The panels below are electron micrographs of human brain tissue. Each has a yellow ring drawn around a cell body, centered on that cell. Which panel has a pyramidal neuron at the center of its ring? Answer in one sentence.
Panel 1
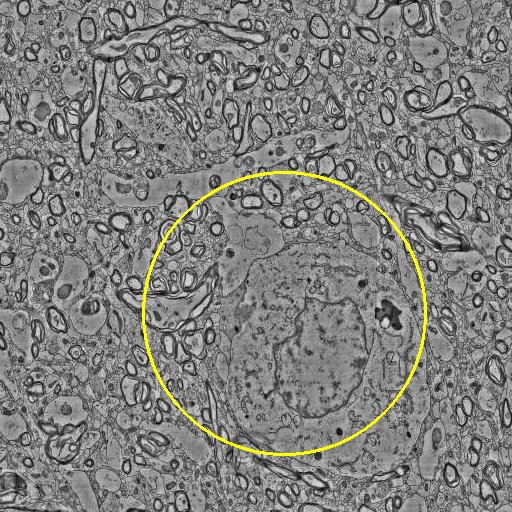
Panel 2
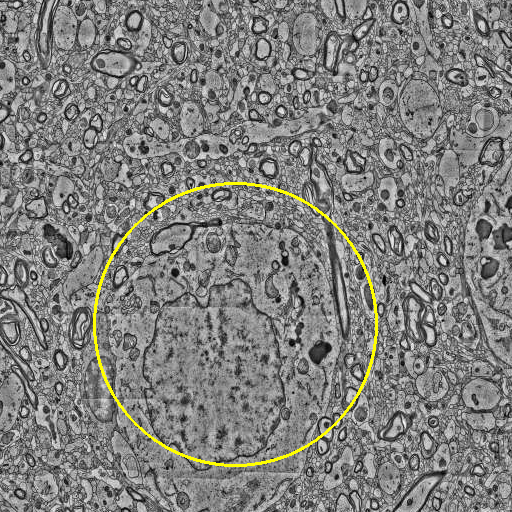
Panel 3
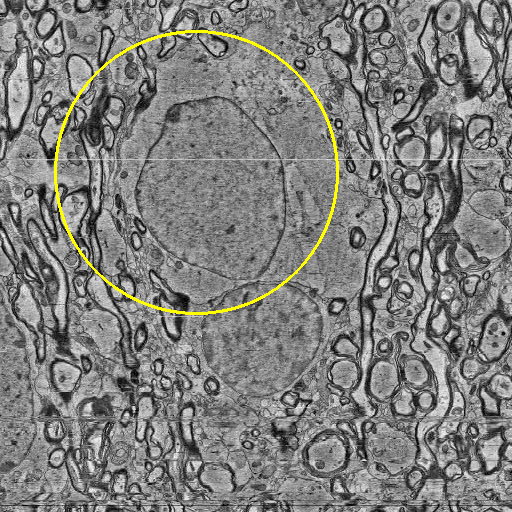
Panel 2 has it at the center of its ring.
